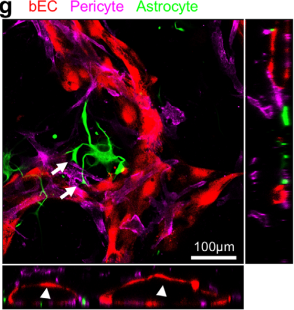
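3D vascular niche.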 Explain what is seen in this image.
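Red endothelial cells form vessel-like structures with magenta pericytes alongside, and a green branched astrocyte sends thin processes onto the vessel. The side views show the red endothelial wall enclosing a hollow lumen.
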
